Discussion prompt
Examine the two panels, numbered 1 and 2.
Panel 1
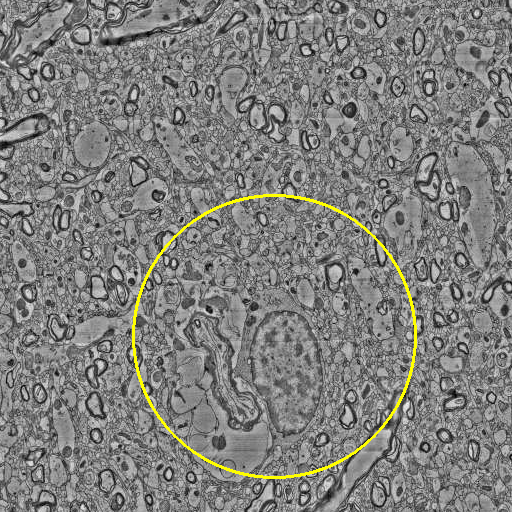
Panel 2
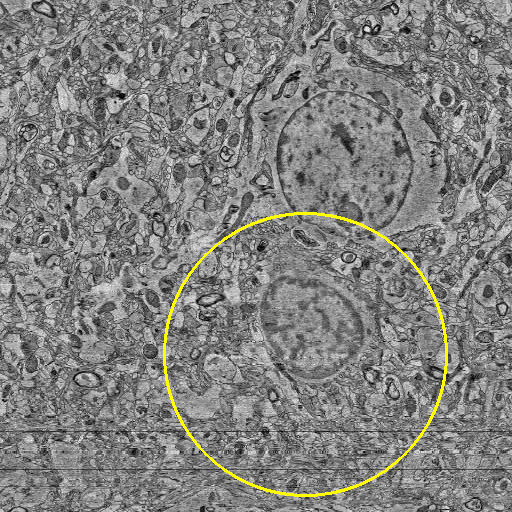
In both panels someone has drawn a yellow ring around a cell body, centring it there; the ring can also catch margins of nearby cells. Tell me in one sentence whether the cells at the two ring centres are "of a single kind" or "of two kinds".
Taken together, the two cells centred in the rings of Panels 1 and 2 are of a single kind.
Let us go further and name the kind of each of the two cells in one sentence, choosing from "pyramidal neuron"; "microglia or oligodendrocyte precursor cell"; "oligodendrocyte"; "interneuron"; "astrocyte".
In each of the two pictures, the ringed cell is an oligodendrocyte.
